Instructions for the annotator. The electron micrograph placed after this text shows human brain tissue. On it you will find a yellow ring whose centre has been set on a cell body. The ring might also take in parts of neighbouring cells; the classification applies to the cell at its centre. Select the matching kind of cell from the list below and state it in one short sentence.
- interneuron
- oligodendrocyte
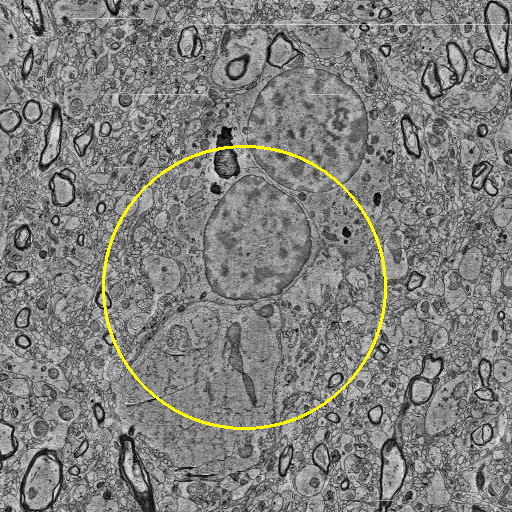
The ring is drawn on the cell body of an oligodendrocyte.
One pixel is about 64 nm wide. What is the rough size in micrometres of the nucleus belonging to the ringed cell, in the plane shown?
The nucleus is approximately 8 micrometers long by 7 micrometers wide in this plane.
